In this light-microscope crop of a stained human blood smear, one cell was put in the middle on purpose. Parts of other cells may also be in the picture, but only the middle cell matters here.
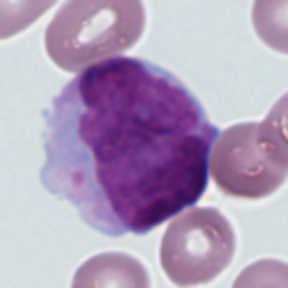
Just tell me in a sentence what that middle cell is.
Framed in the middle of the crop is an atypical promyelocyte.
